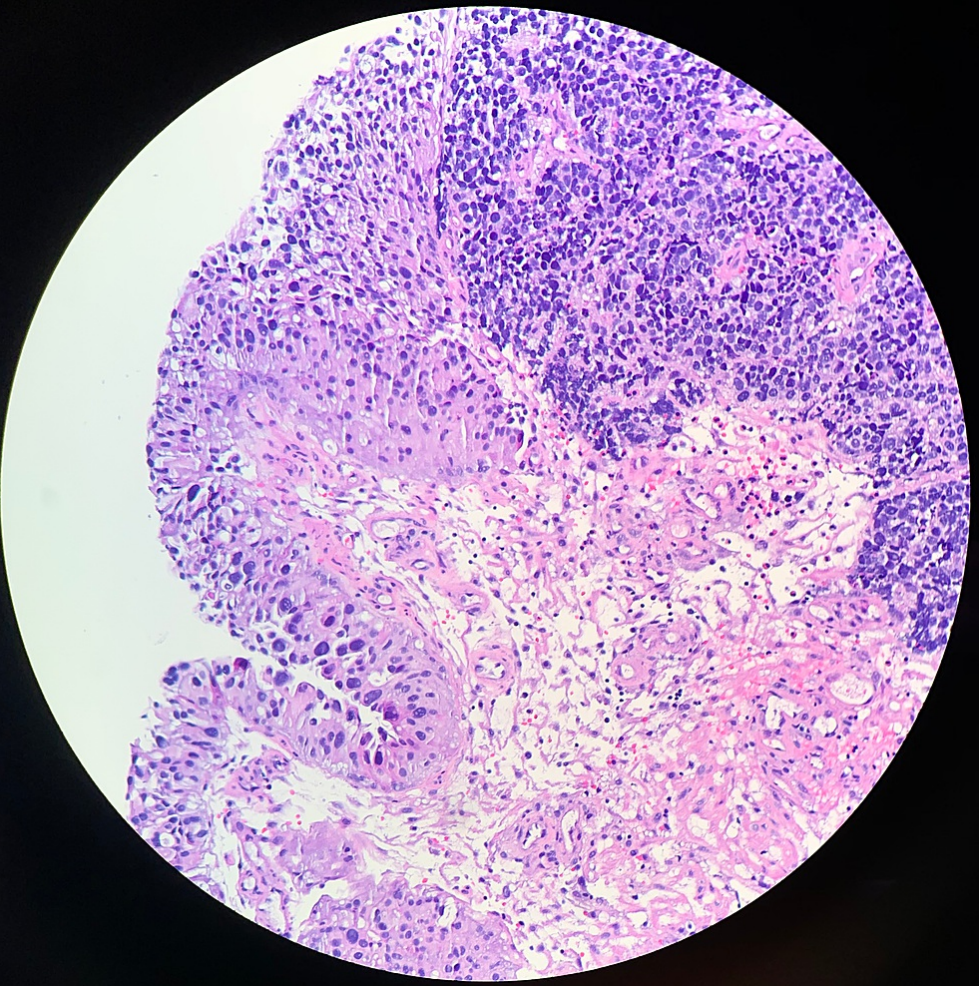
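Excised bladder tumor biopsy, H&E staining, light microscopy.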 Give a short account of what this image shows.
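The surface epithelium on the left is thickened and disorderly, with enlarged, irregular, dark nuclei and crowded cells, yet it stays confined to the epithelial layer. Between the two lies loose, pale pink connective tissue with small blood vessels and scattered red blood cells.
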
